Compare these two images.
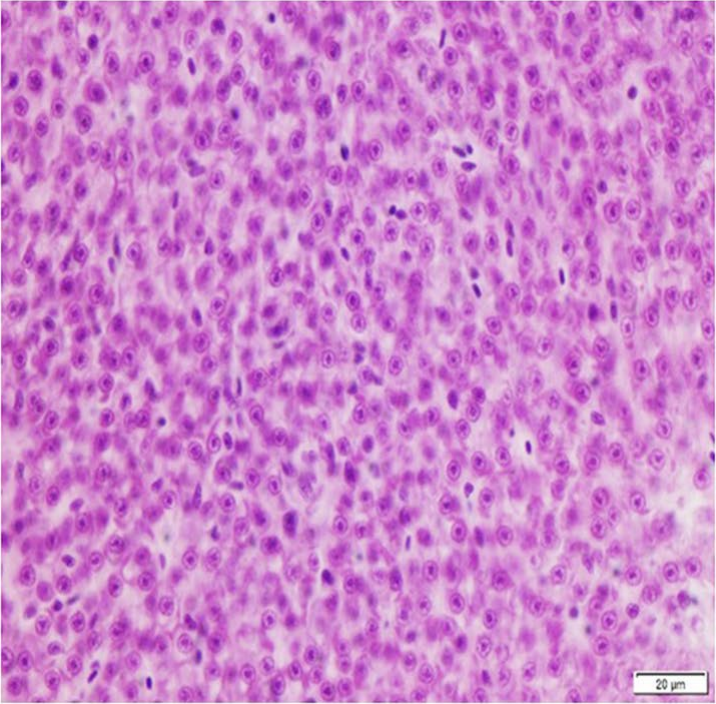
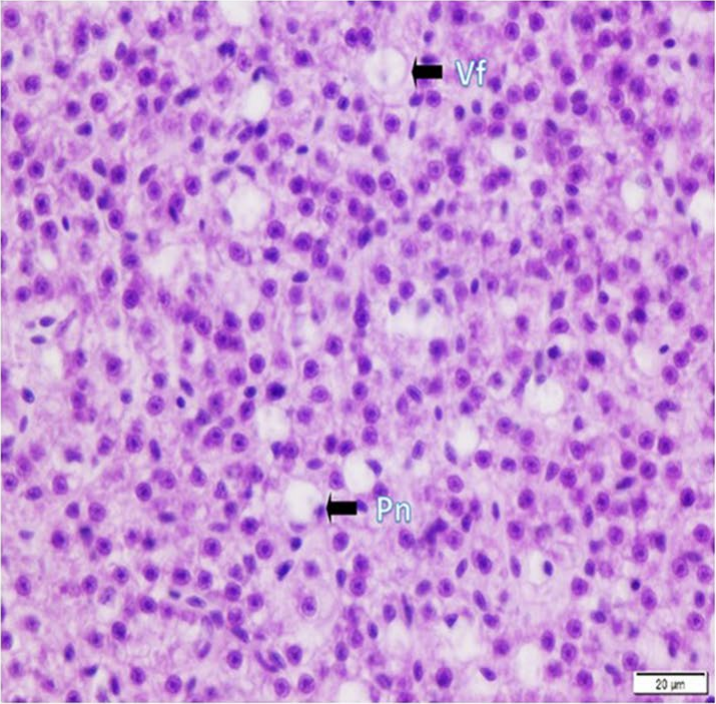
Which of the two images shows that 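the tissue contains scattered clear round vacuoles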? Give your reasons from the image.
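The second image. Second image: many empty white round spaces are scattered among the cells. First image: the cells are closely packed with no such clear spaces.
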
